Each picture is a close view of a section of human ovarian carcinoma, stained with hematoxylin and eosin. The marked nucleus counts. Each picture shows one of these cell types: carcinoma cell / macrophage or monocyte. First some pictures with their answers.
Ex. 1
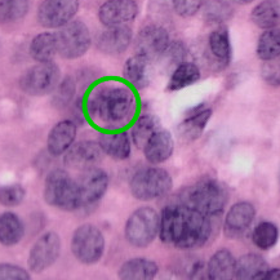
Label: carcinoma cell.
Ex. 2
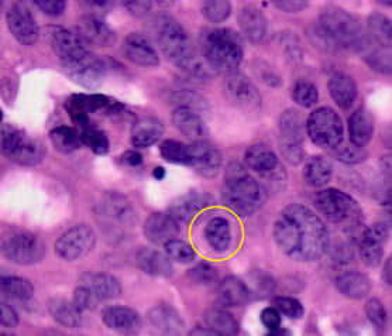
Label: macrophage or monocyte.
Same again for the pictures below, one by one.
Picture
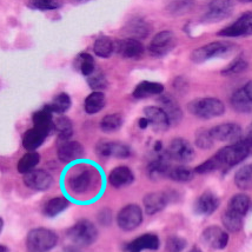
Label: carcinoma cell.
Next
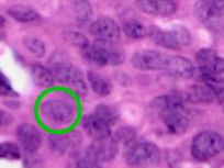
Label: carcinoma cell.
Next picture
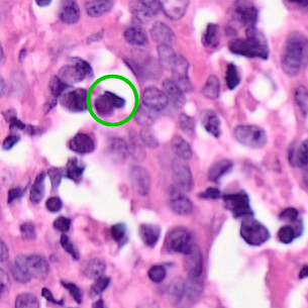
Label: carcinoma cell.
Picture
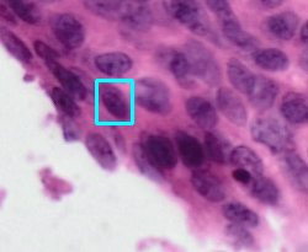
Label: carcinoma cell.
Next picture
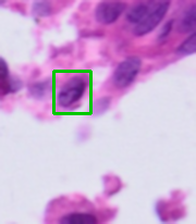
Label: macrophage or monocyte.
